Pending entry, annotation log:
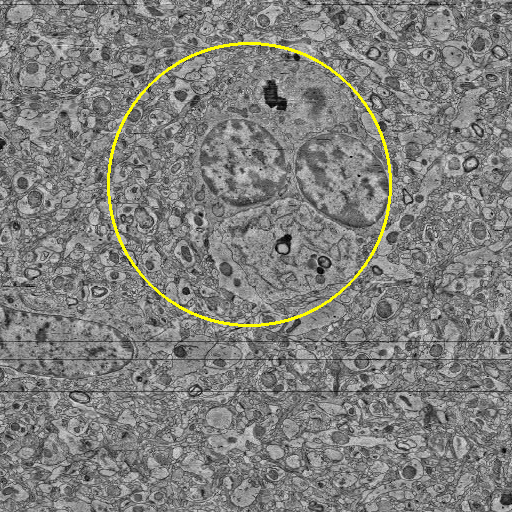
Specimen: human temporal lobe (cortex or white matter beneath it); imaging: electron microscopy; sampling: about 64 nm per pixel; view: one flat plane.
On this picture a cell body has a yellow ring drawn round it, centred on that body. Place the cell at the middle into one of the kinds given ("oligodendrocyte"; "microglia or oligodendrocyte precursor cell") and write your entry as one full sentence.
The cell body at the middle of the yellow ring belongs to an oligodendrocyte.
